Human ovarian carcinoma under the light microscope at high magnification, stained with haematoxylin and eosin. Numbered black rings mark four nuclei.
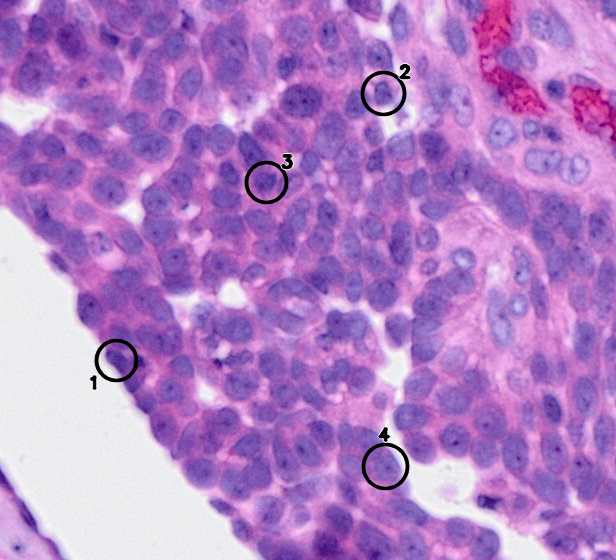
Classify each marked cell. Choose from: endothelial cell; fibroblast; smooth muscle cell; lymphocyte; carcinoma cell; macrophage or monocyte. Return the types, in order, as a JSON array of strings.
["carcinoma cell", "macrophage or monocyte", "carcinoma cell", "carcinoma cell"]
